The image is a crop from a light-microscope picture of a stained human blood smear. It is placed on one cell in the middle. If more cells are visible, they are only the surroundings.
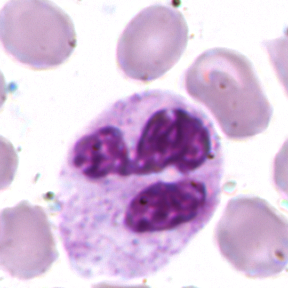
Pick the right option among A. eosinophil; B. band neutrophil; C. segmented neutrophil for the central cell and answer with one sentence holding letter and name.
The expected answer is option C, the central cell being a segmented neutrophil.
